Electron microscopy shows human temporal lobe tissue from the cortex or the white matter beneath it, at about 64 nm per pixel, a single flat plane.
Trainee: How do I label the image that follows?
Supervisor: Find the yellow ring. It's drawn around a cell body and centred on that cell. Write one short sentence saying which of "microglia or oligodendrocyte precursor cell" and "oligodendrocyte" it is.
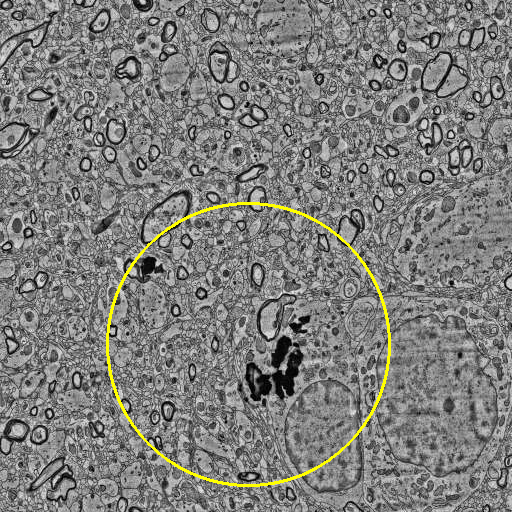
This is the cell body of an oligodendrocyte.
